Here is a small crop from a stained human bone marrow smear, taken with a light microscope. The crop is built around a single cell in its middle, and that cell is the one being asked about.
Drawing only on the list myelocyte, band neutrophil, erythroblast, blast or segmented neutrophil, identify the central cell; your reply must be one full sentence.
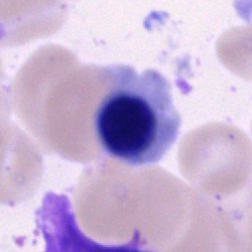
The cell at the central position in this crop is an erythroblast.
